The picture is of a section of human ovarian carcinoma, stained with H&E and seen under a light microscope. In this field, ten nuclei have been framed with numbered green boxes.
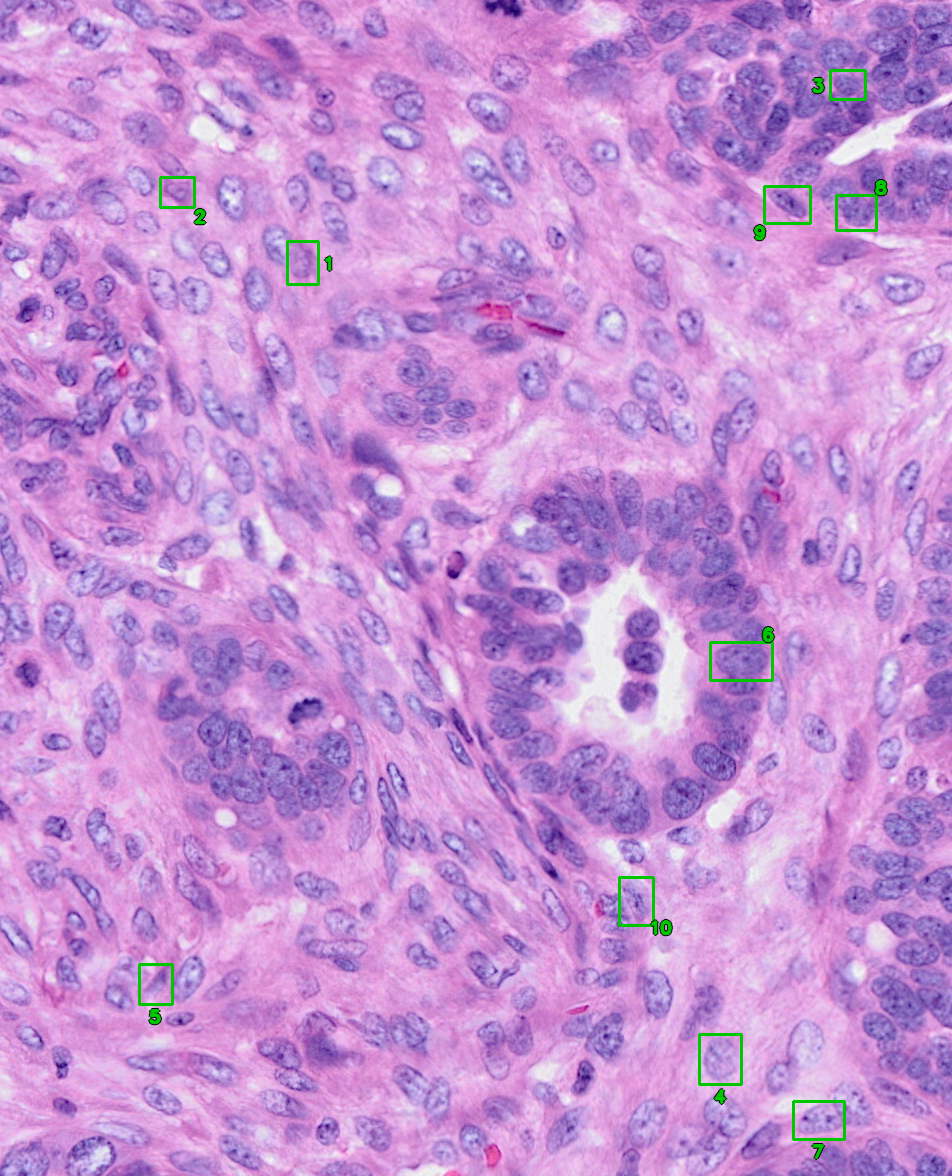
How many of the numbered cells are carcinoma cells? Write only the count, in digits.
3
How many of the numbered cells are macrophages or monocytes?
1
